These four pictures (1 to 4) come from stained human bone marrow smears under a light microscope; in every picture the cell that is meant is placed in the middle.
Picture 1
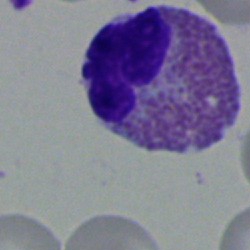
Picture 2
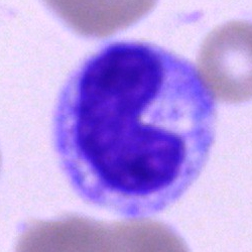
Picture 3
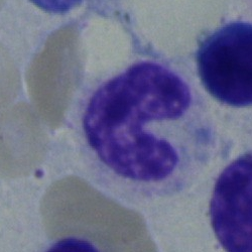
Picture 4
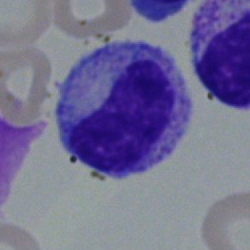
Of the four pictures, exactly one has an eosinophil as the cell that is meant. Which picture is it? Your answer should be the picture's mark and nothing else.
1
